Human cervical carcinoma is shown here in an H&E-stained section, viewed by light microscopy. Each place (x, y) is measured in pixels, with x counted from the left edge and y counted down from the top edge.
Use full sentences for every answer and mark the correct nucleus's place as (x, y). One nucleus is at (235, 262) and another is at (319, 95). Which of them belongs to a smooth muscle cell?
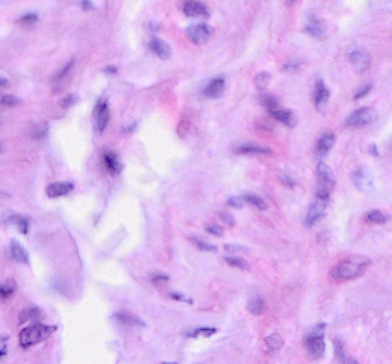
The pair contains one nucleus of a smooth muscle cell, namely the one at (235, 262).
